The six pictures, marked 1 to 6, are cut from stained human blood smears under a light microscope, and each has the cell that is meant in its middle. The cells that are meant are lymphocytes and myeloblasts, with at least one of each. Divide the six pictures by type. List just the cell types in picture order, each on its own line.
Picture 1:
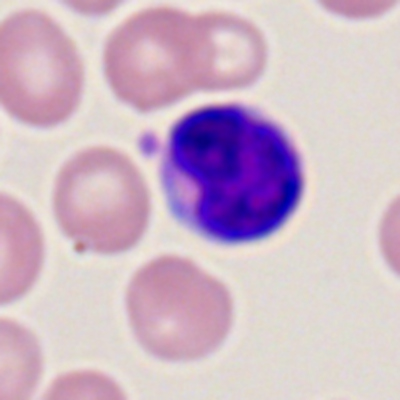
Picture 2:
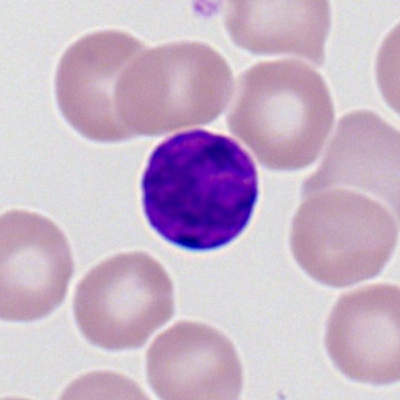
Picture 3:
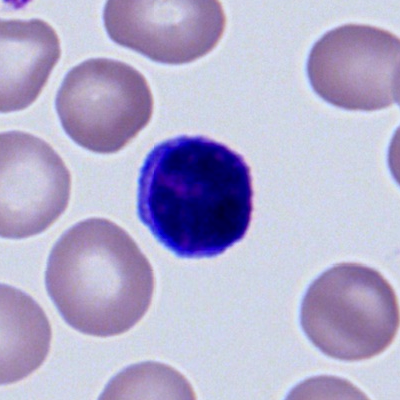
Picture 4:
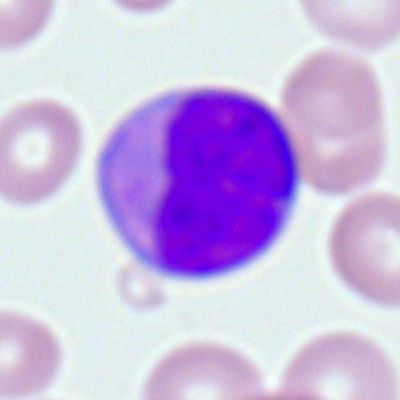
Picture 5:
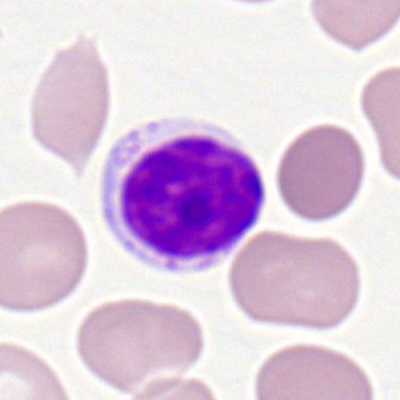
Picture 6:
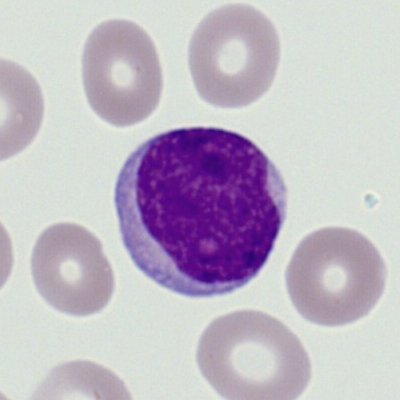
lymphocyte
lymphocyte
lymphocyte
myeloblast
lymphocyte
myeloblast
